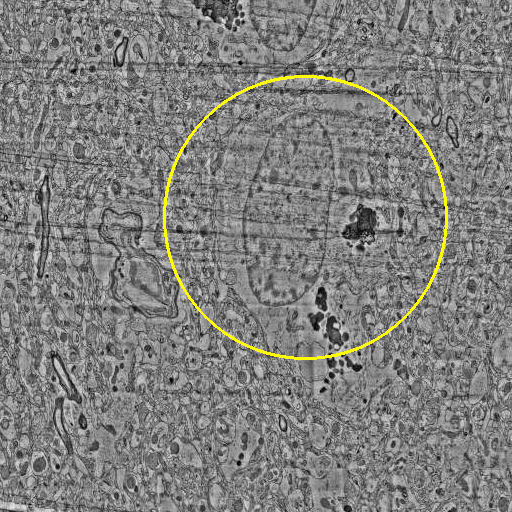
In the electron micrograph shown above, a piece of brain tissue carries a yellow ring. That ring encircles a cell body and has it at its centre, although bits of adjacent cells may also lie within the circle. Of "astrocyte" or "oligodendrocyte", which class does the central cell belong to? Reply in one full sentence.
The cell body at the centre of the yellow ring belongs to an astrocyte.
